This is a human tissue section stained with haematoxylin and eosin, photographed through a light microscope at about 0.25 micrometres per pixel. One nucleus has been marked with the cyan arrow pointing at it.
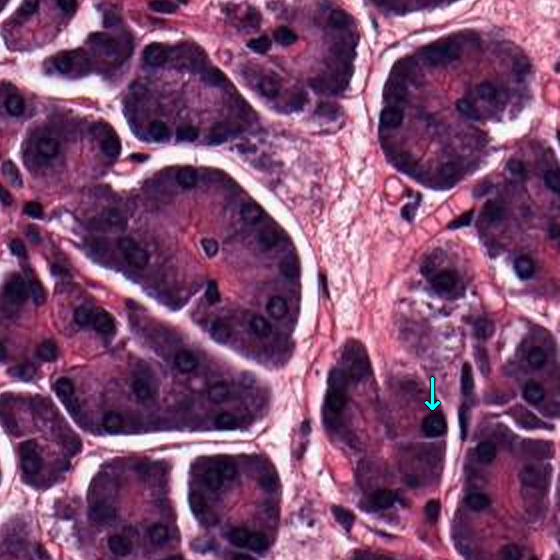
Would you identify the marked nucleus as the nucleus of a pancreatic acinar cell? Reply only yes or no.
yes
